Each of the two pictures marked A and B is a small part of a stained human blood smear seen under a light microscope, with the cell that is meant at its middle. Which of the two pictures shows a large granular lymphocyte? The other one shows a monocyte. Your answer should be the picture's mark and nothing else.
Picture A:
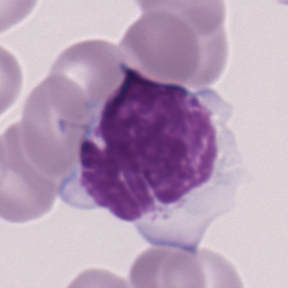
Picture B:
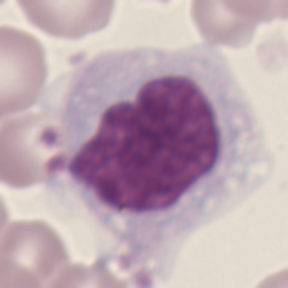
A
